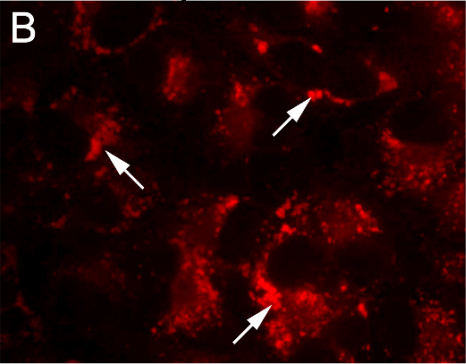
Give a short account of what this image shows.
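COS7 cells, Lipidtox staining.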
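The droplets are clustered densely in the cytoplasm, often gathered on one side of or around dark, unstained round areas that correspond to nuclei. Some cells contain large dense aggregates of droplets, while others show sparser, scattered puncta spreading toward the cell periphery. Cell outlines are faint and visible mainly from the faint red haze of cytoplasm. The nuclei themselves lack red signal and appear as dark oval holes within the stained regions.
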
